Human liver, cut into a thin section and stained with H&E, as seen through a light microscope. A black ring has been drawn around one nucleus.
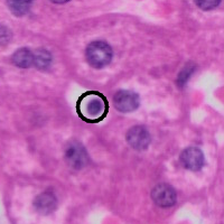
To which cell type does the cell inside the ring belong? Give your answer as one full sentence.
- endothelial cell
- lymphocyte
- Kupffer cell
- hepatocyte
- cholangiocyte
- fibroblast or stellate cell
Considered by cell type, the cell inside the ring is a lymphocyte.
